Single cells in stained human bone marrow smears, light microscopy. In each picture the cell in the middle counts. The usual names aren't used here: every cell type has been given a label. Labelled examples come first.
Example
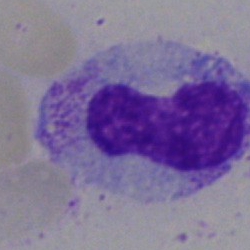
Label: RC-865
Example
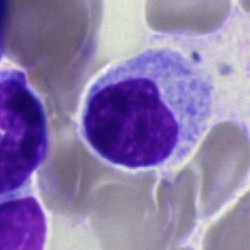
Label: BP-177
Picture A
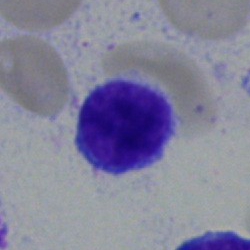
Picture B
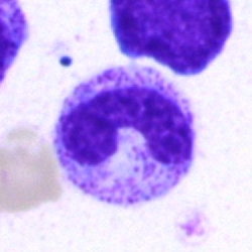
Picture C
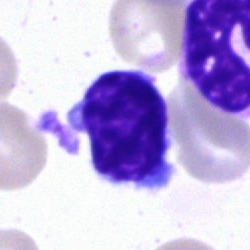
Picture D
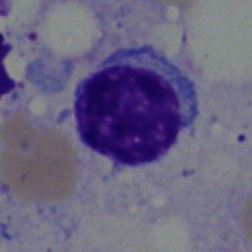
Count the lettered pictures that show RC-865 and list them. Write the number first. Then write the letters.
Count: 1 (B)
